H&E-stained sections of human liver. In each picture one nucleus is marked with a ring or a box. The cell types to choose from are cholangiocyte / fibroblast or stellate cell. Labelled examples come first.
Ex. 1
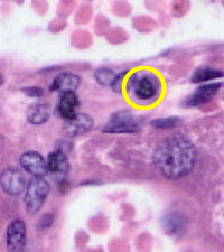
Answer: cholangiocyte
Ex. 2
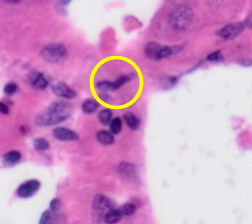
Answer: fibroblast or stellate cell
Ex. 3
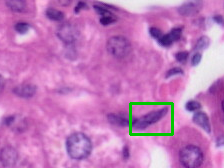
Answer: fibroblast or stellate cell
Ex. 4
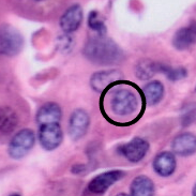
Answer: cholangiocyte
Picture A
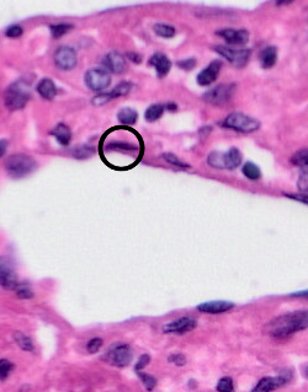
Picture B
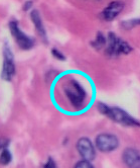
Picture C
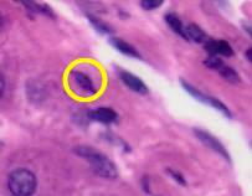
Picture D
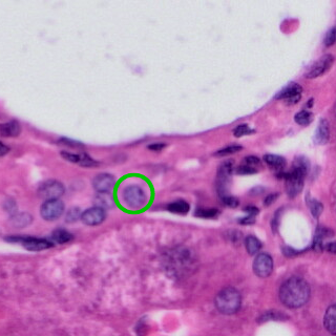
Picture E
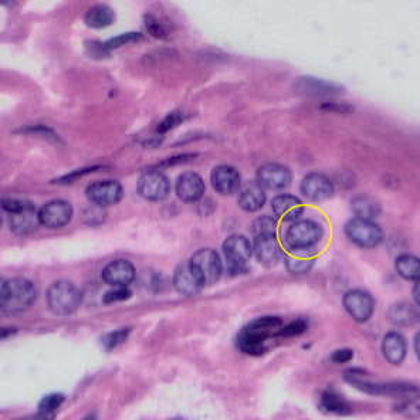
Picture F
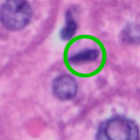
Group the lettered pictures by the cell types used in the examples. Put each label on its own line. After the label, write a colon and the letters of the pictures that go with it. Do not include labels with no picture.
cholangiocyte: D, E
fibroblast or stellate cell: A, B, C, F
